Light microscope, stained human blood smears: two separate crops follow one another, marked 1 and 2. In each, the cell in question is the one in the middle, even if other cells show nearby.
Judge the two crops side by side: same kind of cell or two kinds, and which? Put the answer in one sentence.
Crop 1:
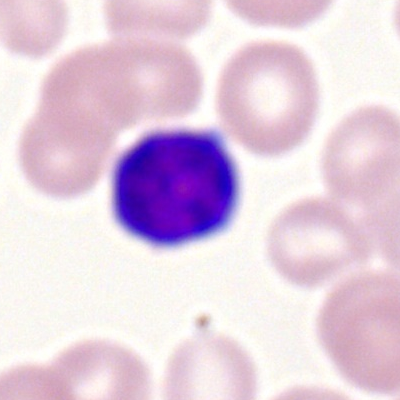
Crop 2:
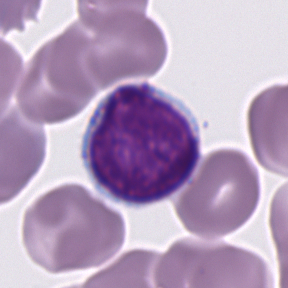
Yes, the central cells in both of the crops are lymphocytes.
